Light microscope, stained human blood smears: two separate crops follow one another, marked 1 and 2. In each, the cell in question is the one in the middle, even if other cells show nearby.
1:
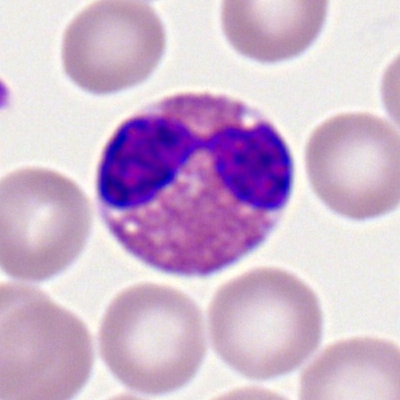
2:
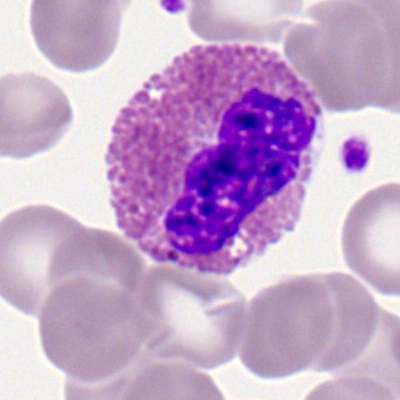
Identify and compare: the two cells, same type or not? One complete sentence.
Yes, the central cells, in both crops, are eosinophils.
